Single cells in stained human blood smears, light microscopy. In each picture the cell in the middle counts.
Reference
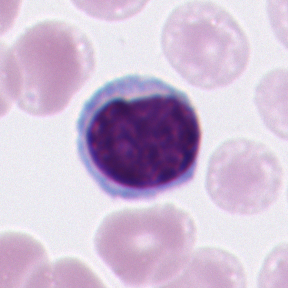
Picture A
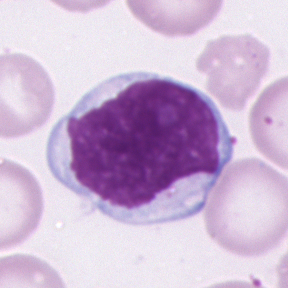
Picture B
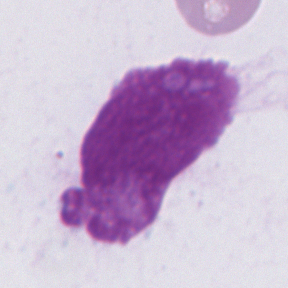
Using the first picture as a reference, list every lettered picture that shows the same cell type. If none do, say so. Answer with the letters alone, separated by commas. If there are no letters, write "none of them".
A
